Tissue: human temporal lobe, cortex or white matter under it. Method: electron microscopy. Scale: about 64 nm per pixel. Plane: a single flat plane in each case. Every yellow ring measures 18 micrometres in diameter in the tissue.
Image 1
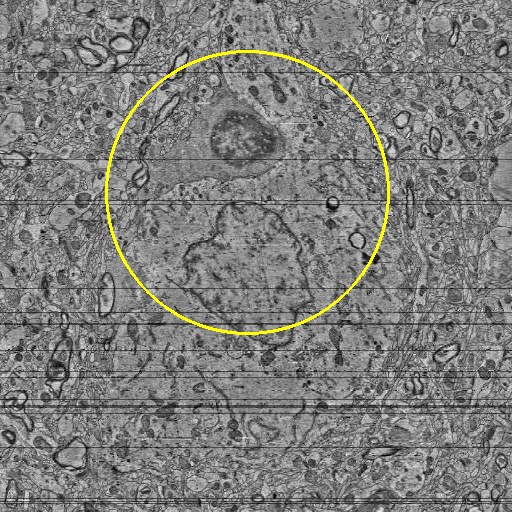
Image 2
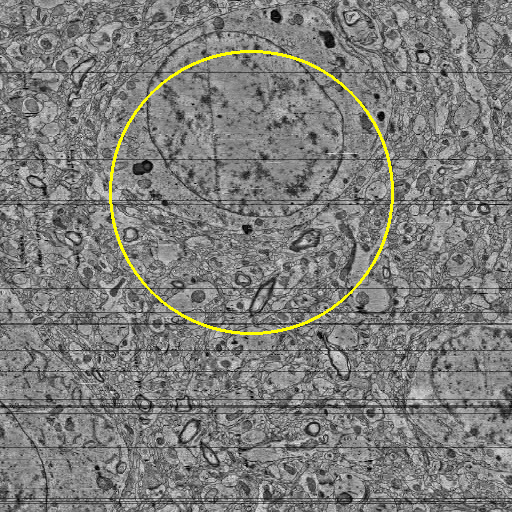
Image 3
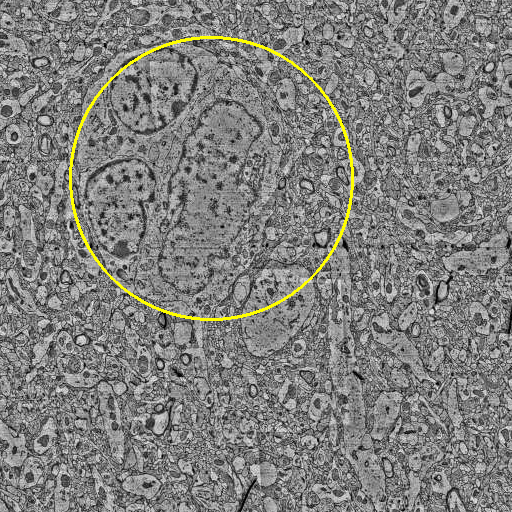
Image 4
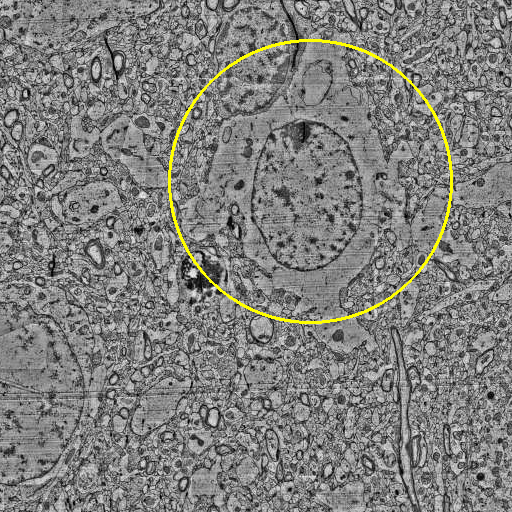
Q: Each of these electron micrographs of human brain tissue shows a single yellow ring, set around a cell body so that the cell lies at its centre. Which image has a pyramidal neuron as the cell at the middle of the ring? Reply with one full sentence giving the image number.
In image 2, the cell lying at the ring's centre is the requested one.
